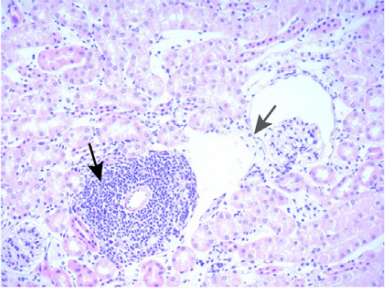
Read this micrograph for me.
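Kidney cortex with pink tubules around a small blood vessel encircled by a dense, round cluster of small dark-blue nuclei of inflammatory cells. Beside a glomerulus lies a large clear space.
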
